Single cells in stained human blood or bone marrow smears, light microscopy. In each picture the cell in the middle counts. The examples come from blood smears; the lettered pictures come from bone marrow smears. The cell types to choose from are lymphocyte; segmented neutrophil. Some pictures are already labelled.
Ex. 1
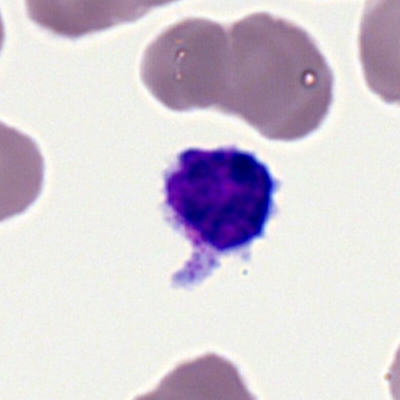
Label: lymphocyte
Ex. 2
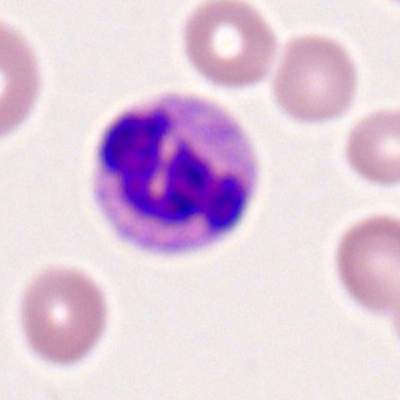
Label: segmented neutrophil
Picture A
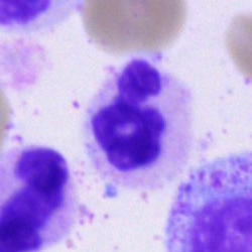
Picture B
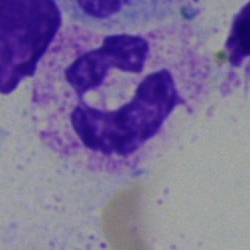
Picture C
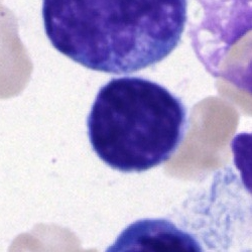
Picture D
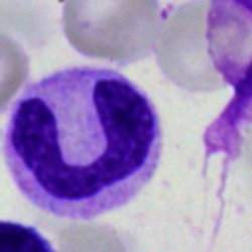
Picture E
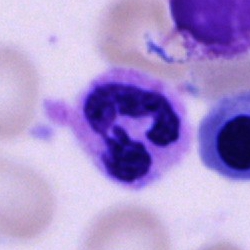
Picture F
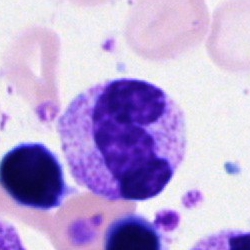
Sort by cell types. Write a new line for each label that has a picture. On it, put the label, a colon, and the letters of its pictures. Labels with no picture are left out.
lymphocyte: C
segmented neutrophil: A, B, D, E, F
